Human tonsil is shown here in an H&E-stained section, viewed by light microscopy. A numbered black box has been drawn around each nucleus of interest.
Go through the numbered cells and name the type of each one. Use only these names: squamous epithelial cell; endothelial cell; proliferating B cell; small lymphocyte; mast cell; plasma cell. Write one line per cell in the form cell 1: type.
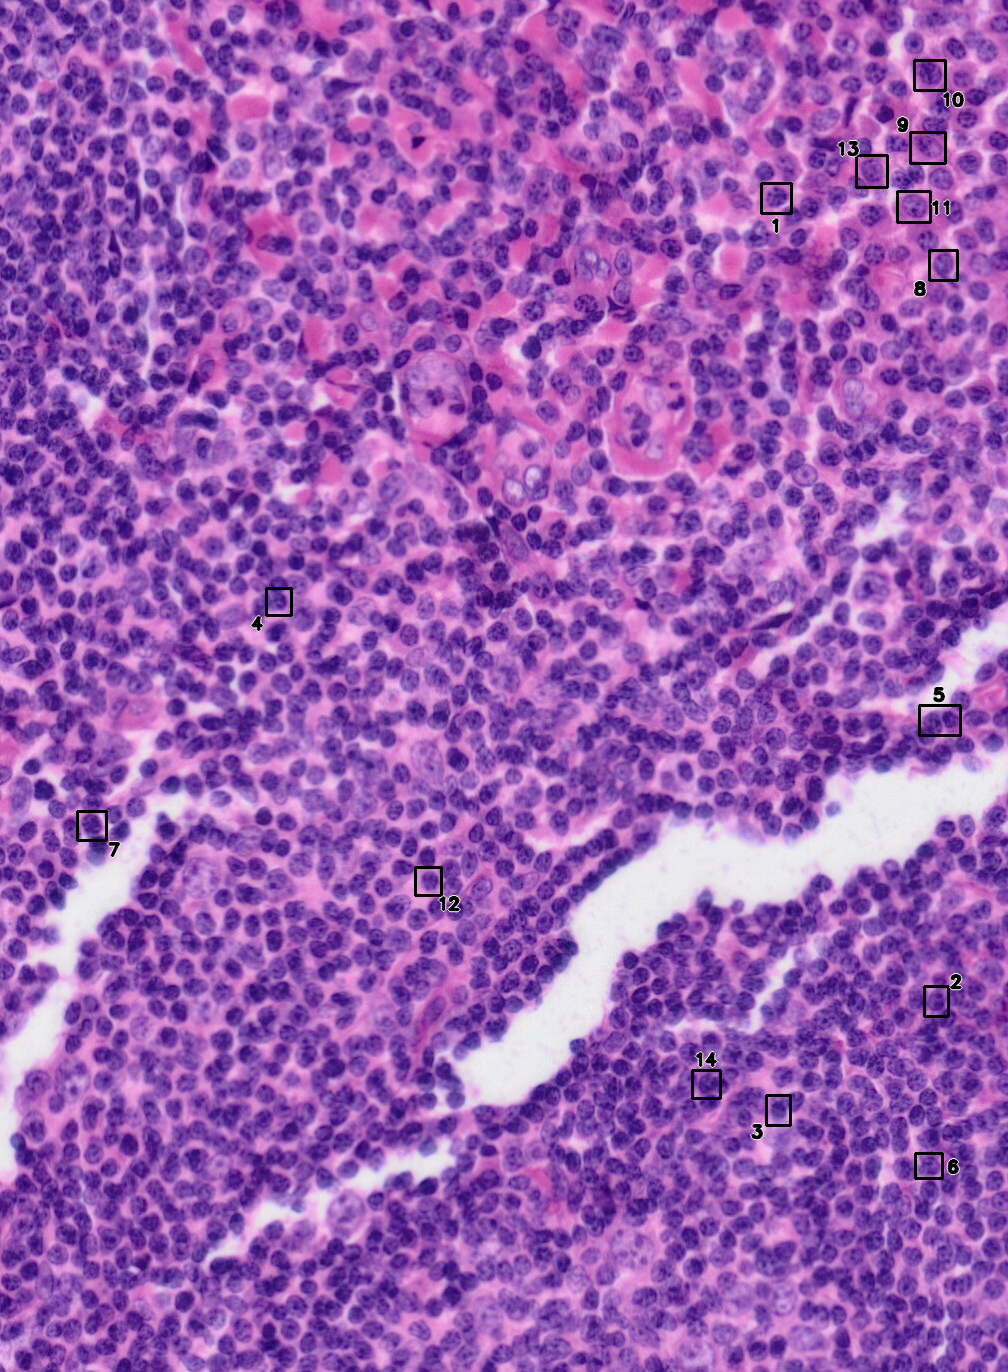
cell 1: plasma cell
cell 2: small lymphocyte
cell 3: small lymphocyte
cell 4: small lymphocyte
cell 5: small lymphocyte
cell 6: small lymphocyte
cell 7: small lymphocyte
cell 8: plasma cell
cell 9: plasma cell
cell 10: plasma cell
cell 11: plasma cell
cell 12: small lymphocyte
cell 13: plasma cell
cell 14: small lymphocyte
